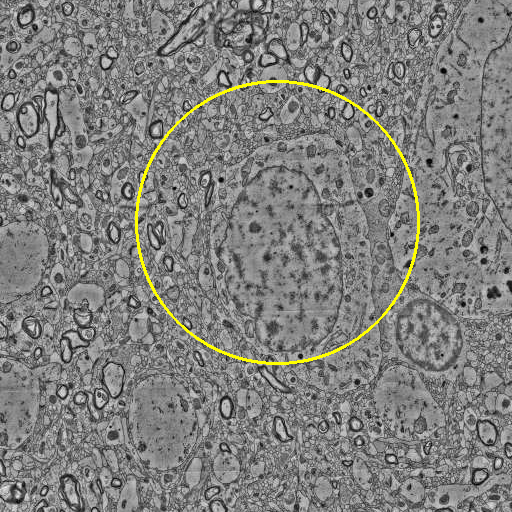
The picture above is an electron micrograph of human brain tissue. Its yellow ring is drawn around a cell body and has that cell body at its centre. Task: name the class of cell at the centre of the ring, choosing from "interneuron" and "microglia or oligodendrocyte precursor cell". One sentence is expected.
The ring surrounds the body of an interneuron.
